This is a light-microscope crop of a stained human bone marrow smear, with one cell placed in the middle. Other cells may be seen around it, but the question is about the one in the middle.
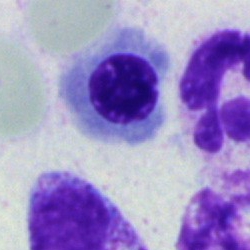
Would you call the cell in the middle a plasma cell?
no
